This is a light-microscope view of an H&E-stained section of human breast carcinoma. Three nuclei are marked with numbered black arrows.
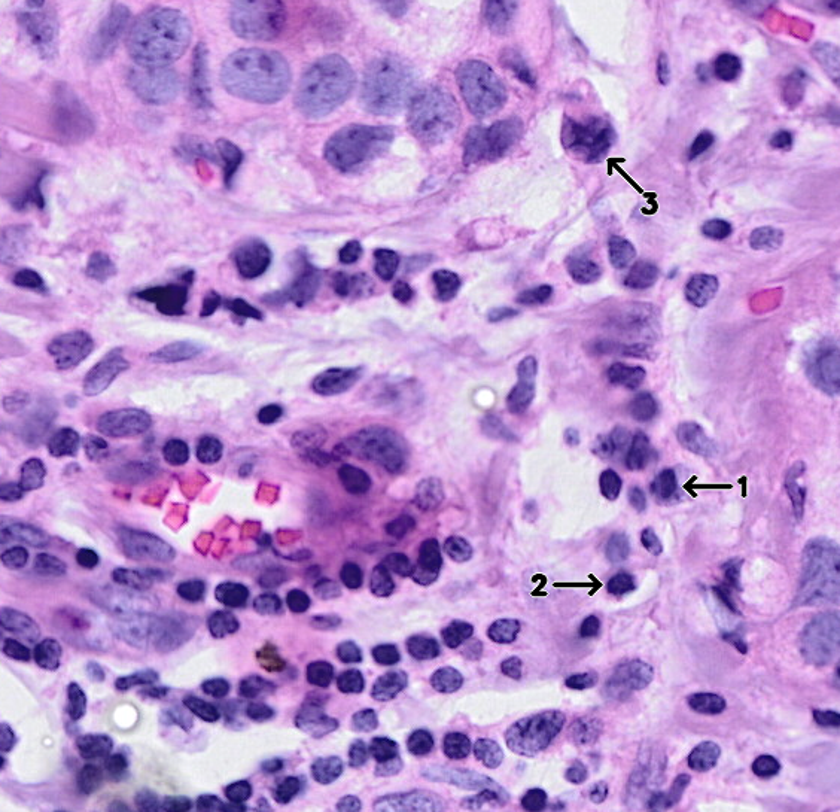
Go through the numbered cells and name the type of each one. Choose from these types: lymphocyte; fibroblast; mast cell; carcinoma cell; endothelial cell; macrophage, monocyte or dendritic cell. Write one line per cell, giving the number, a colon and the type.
1: lymphocyte
2: lymphocyte
3: carcinoma cell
